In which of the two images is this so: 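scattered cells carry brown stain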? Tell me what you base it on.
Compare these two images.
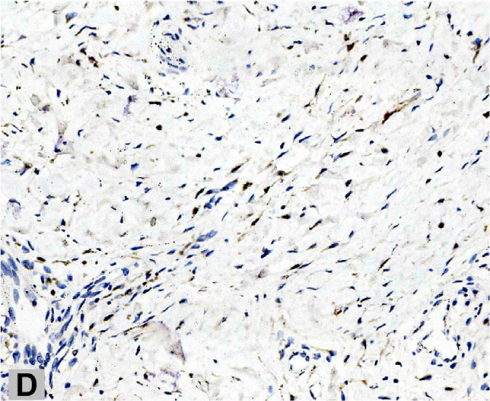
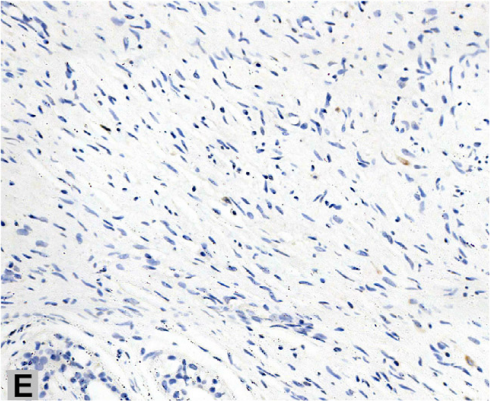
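The first image. Second image: spindle cells show only blue nuclei without brown stain. First image: many scattered cells with thin processes are stained brown.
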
